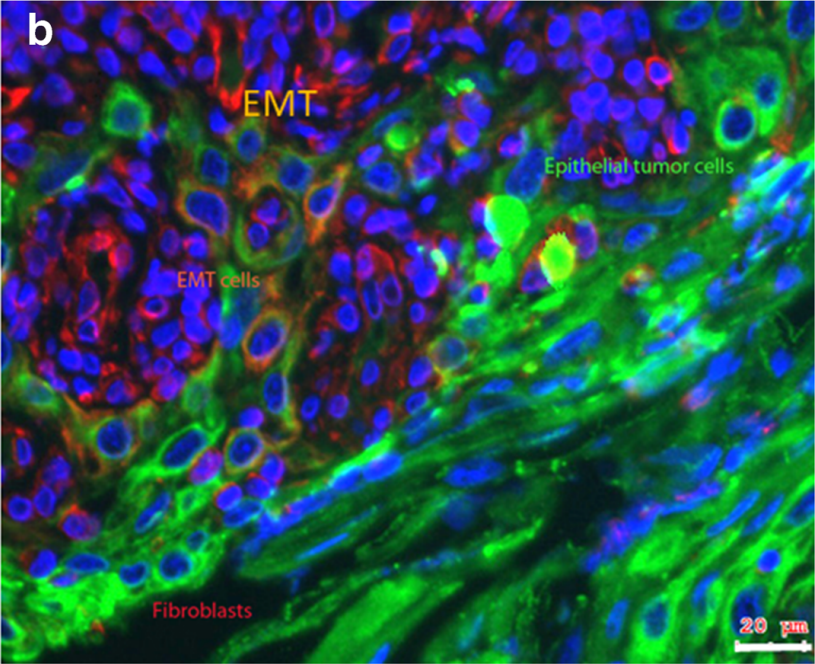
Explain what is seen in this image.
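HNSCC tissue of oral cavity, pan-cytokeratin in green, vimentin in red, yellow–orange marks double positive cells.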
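Several rounded cells in the centre show a yellow-orange tone around their nuclei. The nuclei throughout are blue and vary from round to elongated.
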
